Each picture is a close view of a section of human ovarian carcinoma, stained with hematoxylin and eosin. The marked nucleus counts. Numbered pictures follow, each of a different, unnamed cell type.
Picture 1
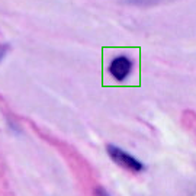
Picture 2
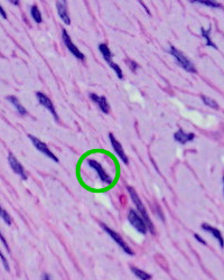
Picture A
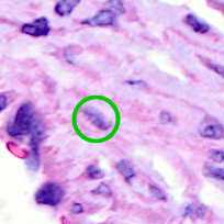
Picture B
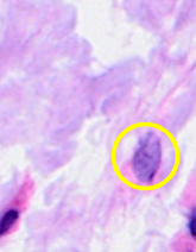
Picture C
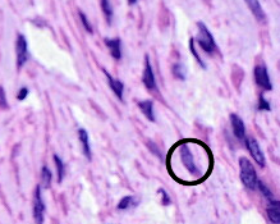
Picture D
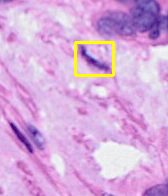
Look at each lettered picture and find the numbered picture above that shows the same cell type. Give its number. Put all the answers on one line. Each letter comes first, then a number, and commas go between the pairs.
A 2, B 2, C 2, D 2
